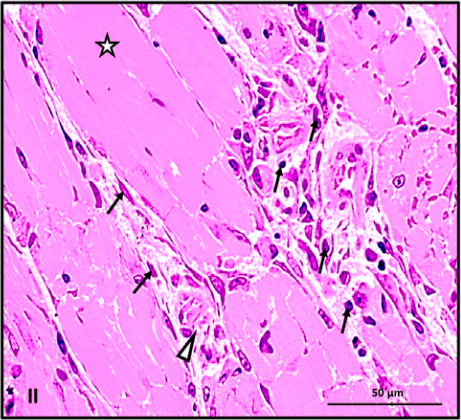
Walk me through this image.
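Skeletal muscle in which pale pink myocytes of varying width are separated by wide, loose interstitial spaces. These spaces are crowded with many oval and rounded dark blue nuclei of interstitial cells, some in clusters, set in pale, wispy connective tissue. Small blood vessels with lumina lined by flat cells lie among them. Many fibers have lost their regular parallel arrangement, with irregular outlines, and the cross-striations are hard to see. Compared with normal muscle, the interstitium is widened and far more cellular.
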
